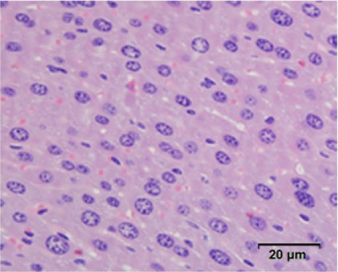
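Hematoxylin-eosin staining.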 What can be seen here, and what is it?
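This is liver tissue made of hepatocytes arranged in orderly cords that run in parallel across the field. The hepatocytes are polygonal with evenly pink, finely granular cytoplasm. Between the cords run narrow sinusoids lined by small, flat, dark nuclei, with occasional red blood cells. No vacuoles, pale necrotic areas or clusters of inflammatory cells are seen.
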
